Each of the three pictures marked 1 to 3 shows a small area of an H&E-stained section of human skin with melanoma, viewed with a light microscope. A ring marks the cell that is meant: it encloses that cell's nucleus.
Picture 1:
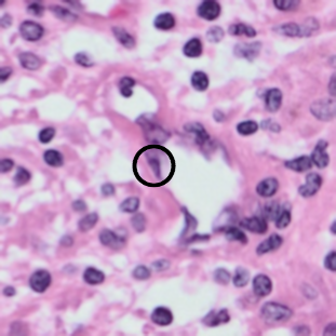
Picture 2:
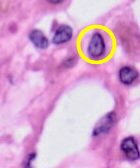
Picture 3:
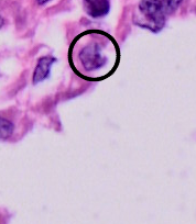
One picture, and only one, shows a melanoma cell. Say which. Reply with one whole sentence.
Picture 3 shows the melanoma cell.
